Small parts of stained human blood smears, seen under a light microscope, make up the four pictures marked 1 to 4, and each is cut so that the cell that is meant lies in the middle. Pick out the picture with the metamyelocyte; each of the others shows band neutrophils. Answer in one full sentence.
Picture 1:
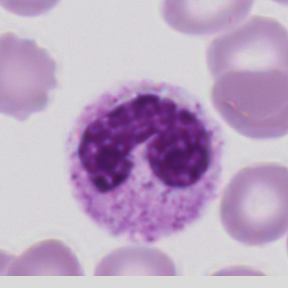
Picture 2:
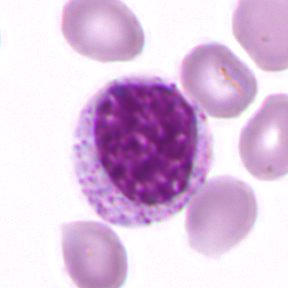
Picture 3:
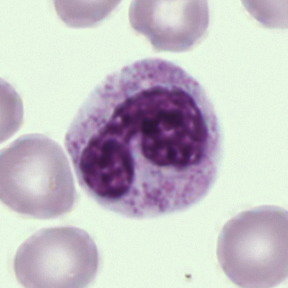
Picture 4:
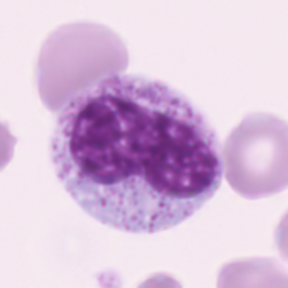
The metamyelocyte is the one in picture 2.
